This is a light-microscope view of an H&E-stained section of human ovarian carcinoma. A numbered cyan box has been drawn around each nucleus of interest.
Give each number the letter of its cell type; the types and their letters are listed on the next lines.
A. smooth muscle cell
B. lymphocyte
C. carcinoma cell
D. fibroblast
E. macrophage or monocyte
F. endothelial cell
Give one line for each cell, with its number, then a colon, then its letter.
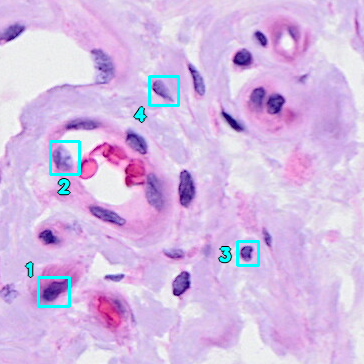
1: A
2: F
3: B
4: D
